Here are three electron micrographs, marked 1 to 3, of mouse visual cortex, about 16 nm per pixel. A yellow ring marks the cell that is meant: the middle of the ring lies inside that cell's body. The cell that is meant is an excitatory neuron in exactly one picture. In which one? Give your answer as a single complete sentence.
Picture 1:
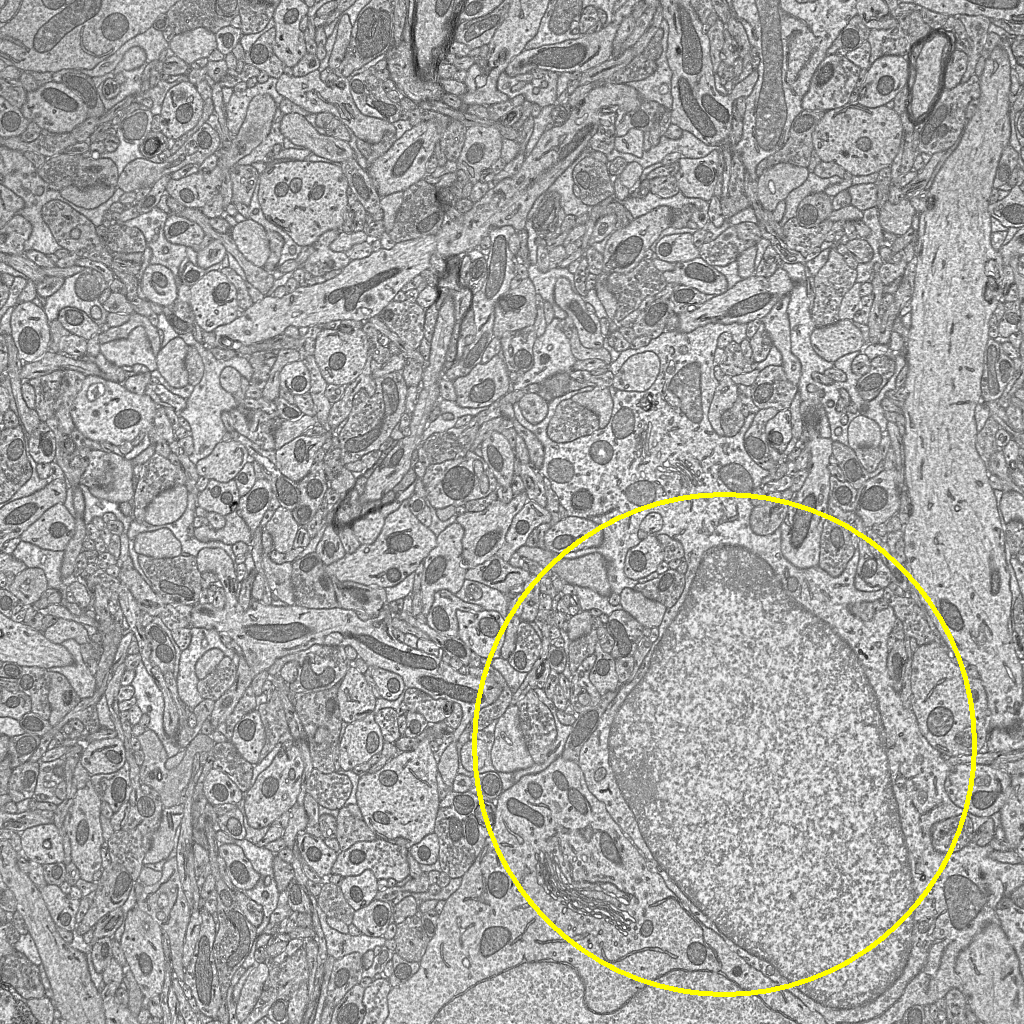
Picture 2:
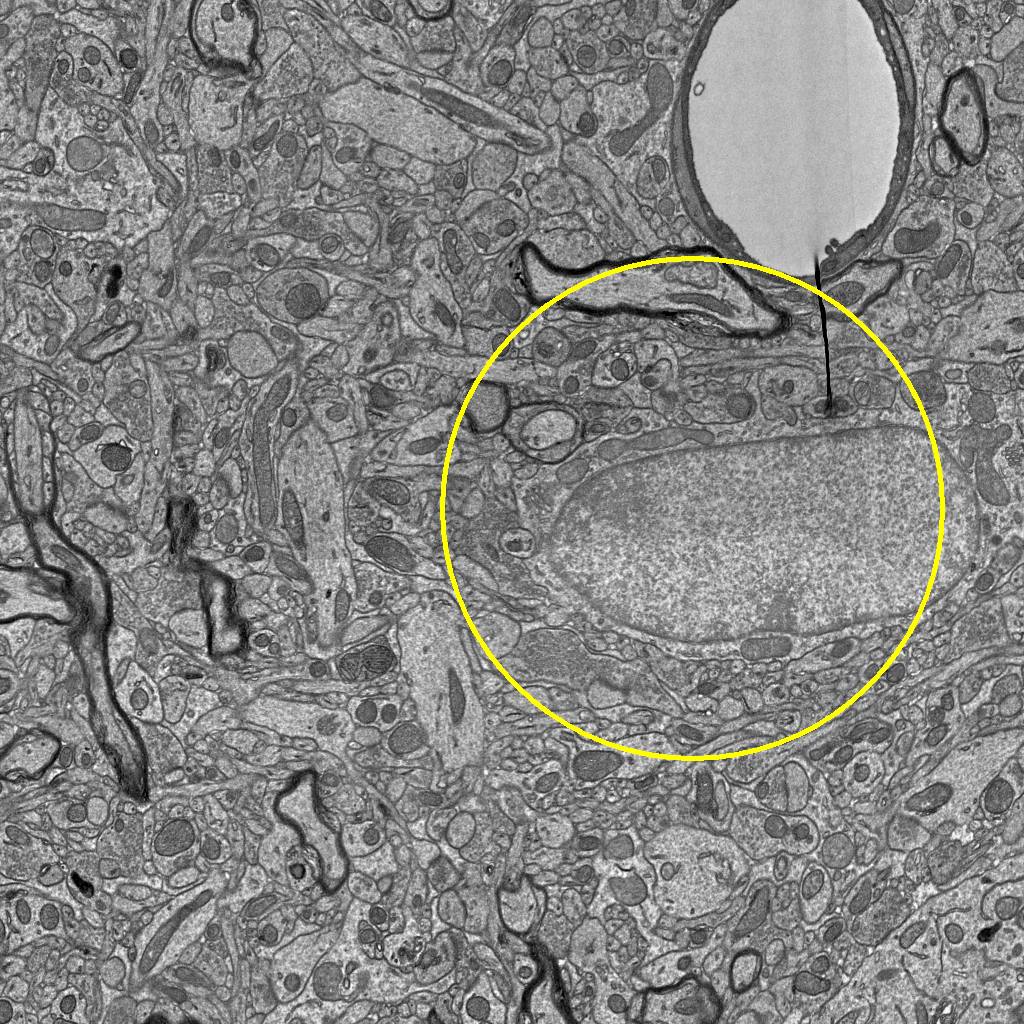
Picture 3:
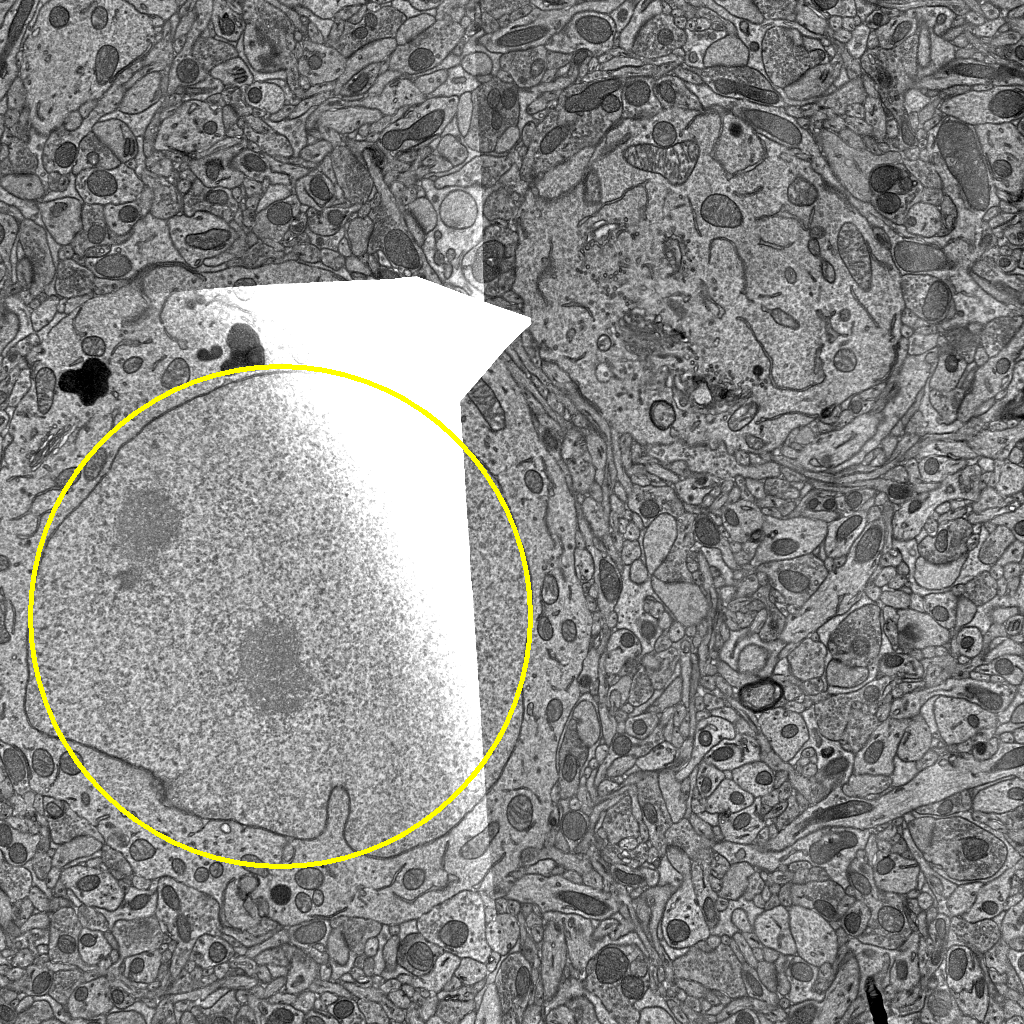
The picture with the excitatory neuron is 3.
